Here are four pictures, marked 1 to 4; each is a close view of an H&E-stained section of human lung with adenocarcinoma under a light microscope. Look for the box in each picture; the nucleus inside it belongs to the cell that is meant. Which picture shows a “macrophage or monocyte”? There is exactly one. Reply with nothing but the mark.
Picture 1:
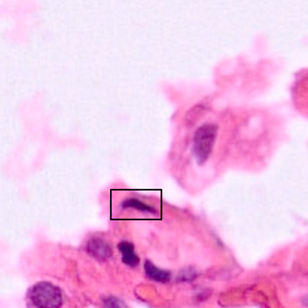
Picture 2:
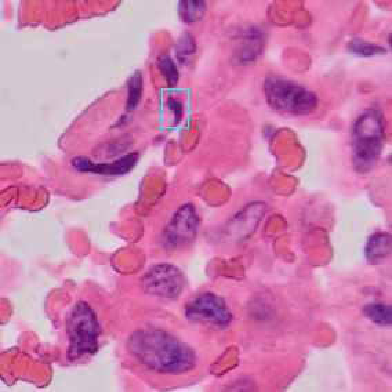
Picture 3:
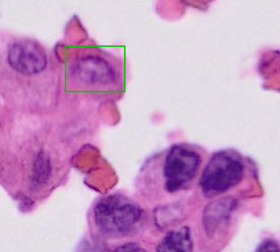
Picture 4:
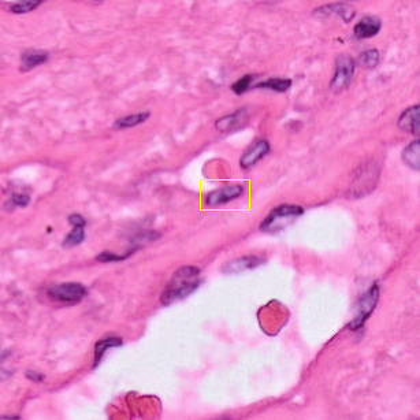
3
